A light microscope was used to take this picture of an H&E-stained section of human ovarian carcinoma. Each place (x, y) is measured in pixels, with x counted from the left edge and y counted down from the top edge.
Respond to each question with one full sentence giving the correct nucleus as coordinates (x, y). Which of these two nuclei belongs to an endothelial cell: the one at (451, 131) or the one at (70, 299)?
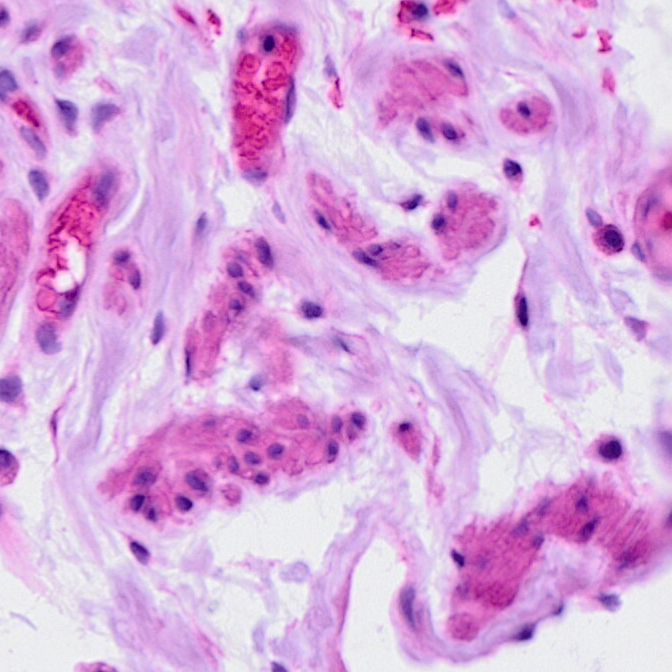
It is the nucleus at (70, 299) that belongs to an endothelial cell.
